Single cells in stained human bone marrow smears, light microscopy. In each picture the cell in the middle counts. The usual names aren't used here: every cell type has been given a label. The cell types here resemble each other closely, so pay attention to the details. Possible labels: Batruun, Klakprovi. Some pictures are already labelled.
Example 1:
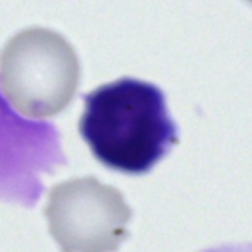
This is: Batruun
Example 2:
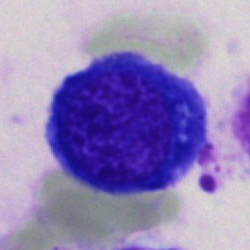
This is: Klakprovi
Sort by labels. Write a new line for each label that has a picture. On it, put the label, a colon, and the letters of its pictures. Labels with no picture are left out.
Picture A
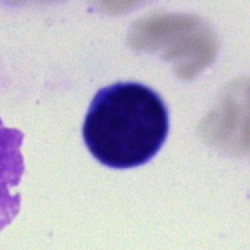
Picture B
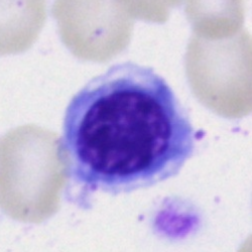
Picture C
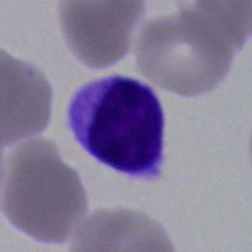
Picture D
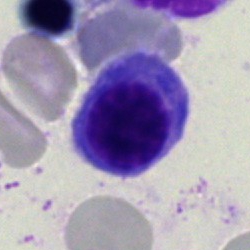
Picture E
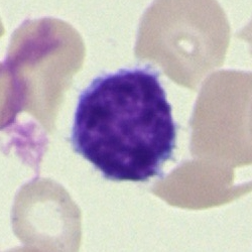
Batruun: A, C, E
Klakprovi: B, D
